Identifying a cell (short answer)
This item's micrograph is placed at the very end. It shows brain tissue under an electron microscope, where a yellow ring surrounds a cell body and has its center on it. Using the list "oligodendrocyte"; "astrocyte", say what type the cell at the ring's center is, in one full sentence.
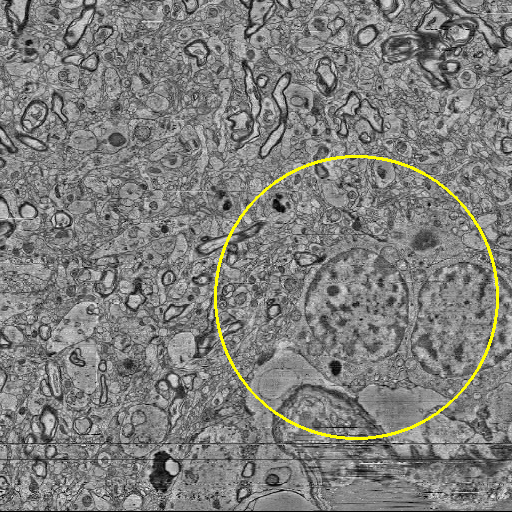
This picture shows an oligodendrocyte at the center of the yellow ring drawn on it.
